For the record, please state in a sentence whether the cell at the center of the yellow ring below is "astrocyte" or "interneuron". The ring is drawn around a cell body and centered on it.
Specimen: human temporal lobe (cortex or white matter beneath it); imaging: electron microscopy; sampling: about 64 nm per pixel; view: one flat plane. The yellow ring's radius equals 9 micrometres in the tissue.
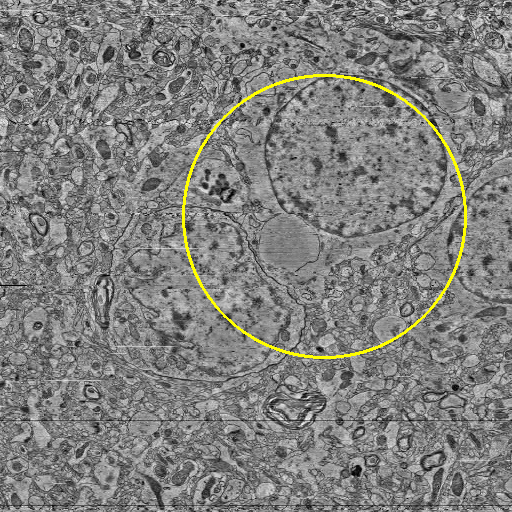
The cell at the ring's center is an astrocyte.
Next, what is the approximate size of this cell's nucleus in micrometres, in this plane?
The nucleus appears about 11 micrometres across in this plane.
